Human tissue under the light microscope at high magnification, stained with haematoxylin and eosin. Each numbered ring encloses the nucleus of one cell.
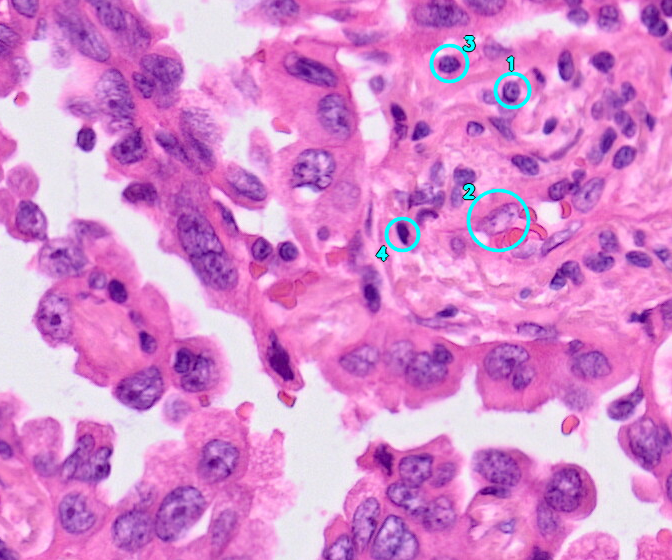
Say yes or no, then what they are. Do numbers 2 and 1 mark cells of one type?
No, cell 2 is interpreted as an endothelial cell, and cell 1 is interpreted as a lymphocyte.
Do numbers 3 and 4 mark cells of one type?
No, the cell at number 3 is a lymphocyte, and the cell at number 4 is a plasma cell.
